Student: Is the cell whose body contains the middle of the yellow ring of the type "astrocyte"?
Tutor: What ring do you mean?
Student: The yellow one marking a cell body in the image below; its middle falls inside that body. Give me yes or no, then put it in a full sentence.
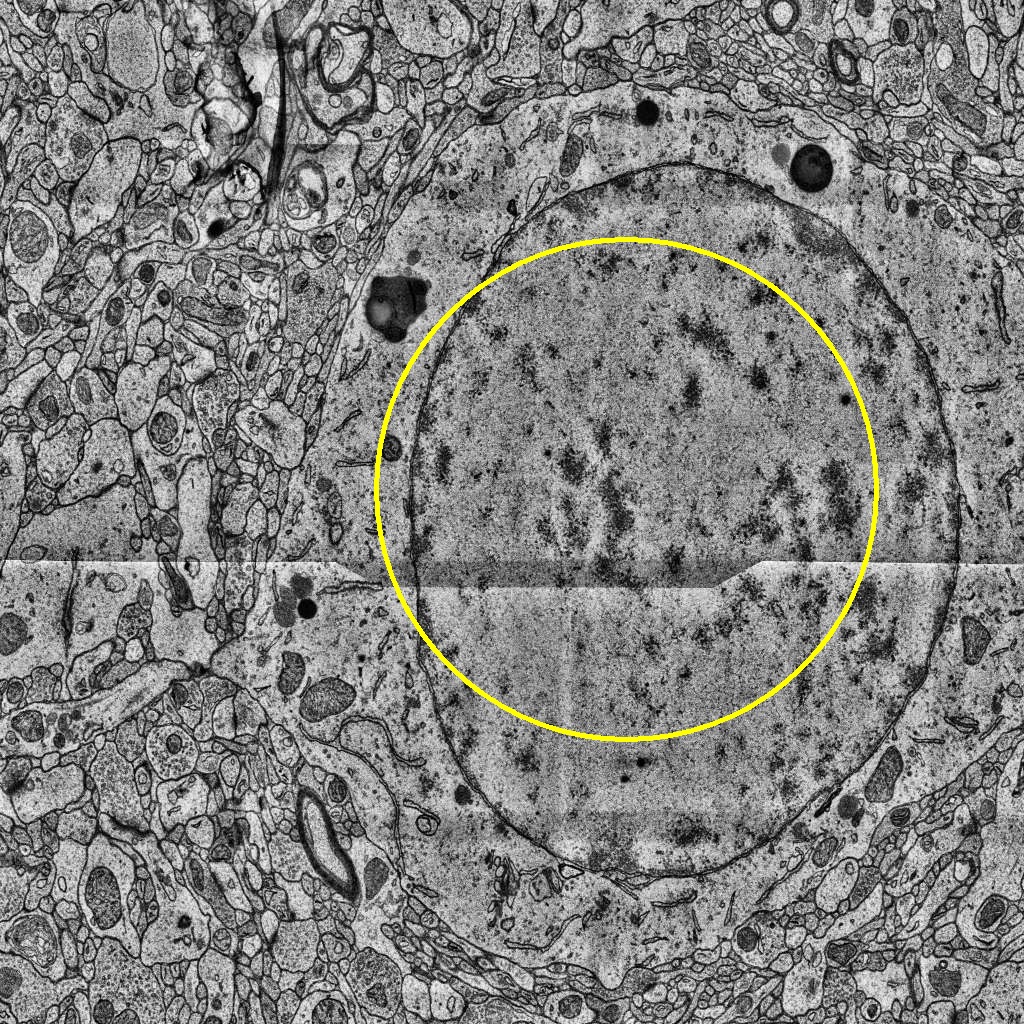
No, the cell whose body holds the middle of the yellow ring in the image has a different type.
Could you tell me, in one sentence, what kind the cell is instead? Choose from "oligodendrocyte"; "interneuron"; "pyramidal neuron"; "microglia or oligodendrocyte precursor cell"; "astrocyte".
Instead, the ring surrounds a pyramidal neuron in this picture.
